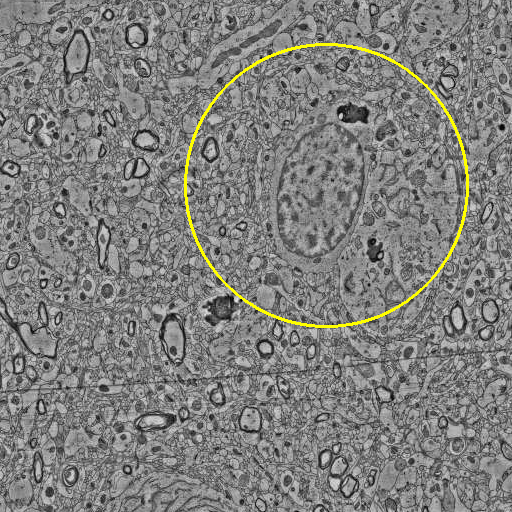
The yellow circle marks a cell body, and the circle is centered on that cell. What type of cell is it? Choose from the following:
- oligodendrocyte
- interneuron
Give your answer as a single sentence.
This cell body belongs to an oligodendrocyte.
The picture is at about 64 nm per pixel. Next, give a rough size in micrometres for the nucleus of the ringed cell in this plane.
The nucleus of the ringed cell is clearly longer than it is wide in this plane, about 9 by 5 micrometres.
